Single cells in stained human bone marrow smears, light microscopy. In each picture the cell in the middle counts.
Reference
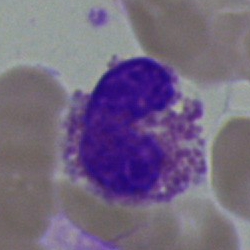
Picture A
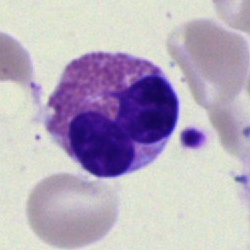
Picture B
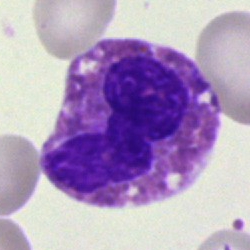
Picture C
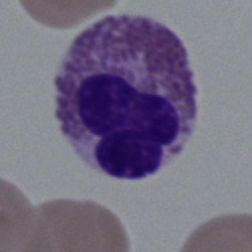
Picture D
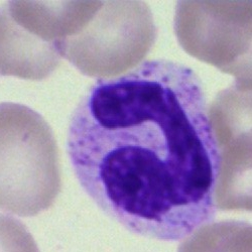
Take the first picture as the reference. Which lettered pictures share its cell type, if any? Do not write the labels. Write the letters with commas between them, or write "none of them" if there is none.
A, B, C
